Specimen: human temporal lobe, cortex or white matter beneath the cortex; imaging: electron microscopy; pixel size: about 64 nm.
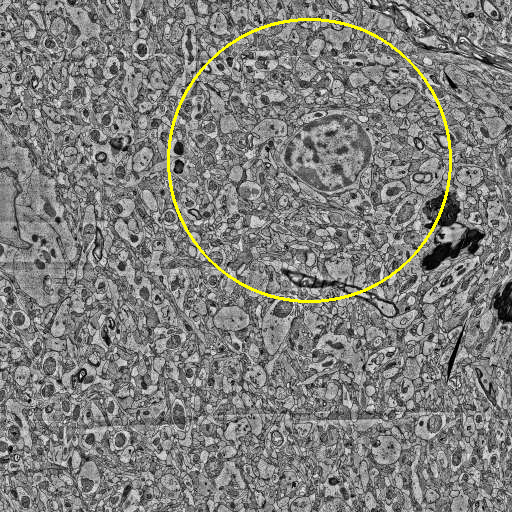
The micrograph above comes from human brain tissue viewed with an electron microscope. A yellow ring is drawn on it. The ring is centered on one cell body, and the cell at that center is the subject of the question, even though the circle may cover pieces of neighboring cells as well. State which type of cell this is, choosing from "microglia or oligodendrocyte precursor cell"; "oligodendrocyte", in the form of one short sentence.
The cell the ring is centered on is a microglial cell or oligodendrocyte precursor cell.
